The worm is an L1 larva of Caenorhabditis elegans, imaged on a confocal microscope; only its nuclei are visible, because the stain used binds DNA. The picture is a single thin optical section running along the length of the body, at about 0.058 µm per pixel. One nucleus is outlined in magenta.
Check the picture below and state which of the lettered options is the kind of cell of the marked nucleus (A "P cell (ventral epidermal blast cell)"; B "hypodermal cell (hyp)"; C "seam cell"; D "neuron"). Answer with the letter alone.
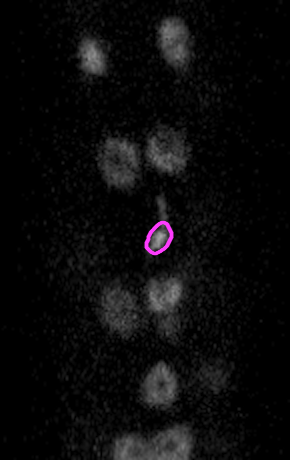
A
